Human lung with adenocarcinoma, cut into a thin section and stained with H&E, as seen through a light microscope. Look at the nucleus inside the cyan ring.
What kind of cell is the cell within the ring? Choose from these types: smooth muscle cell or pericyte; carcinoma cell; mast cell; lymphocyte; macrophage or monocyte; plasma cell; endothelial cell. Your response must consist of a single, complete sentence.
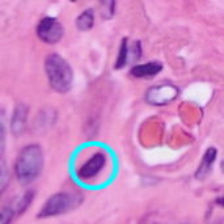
In this tissue section, the cell within the ring is to be classed as a plasma cell.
